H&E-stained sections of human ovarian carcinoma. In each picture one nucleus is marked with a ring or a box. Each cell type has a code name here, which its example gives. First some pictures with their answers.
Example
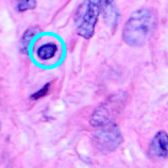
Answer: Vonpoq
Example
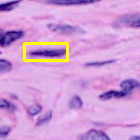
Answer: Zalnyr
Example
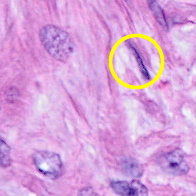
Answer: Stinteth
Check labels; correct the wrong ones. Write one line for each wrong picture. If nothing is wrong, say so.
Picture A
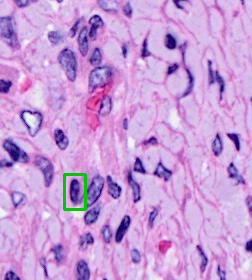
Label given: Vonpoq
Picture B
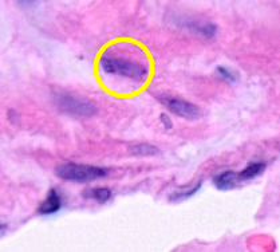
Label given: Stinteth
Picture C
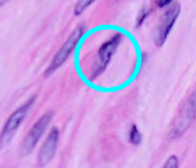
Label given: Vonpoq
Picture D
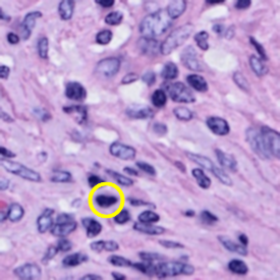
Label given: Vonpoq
Wrong: B (Stinteth); correct: Zalnyr
Wrong: C (Vonpoq); correct: Zalnyr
